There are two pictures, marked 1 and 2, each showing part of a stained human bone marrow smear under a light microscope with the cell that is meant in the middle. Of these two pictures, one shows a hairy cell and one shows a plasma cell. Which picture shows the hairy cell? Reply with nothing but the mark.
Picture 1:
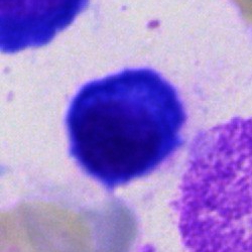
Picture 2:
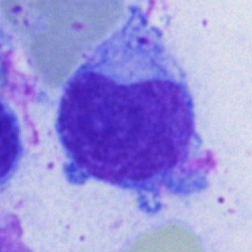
2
